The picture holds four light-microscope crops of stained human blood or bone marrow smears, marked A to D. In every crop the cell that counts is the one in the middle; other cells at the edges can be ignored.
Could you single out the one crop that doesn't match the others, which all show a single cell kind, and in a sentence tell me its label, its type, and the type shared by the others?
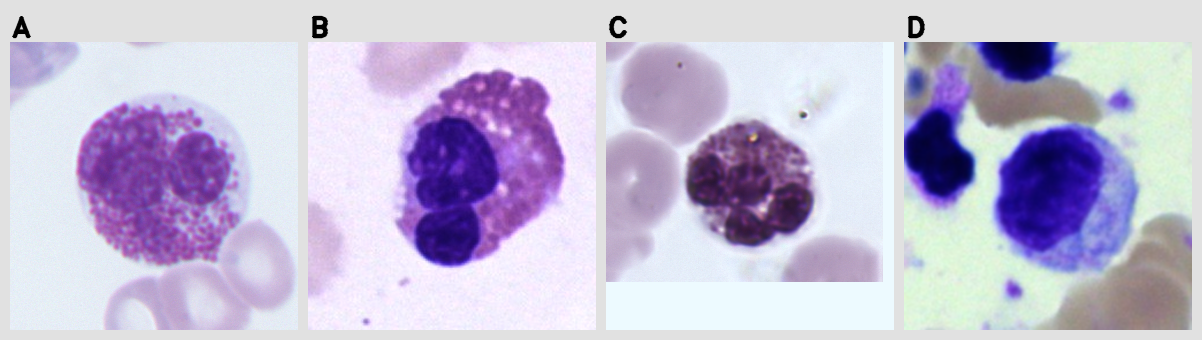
Crop D is the sole crop with a myelocyte; the others all have eosinophils.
